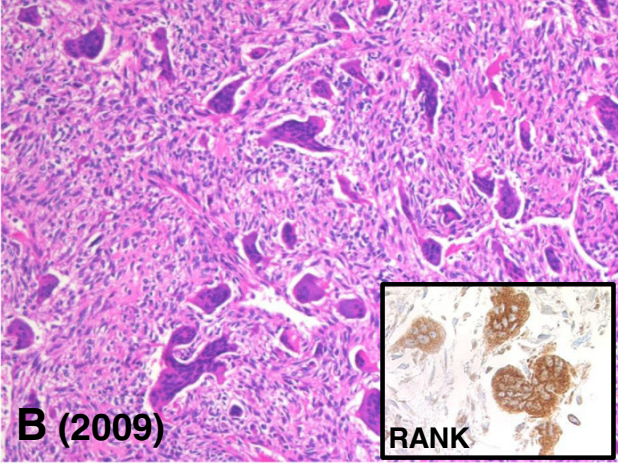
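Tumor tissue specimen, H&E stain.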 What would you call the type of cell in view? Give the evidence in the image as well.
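Many large cells with dark purple cytoplasm and many clustered nuclei. They are scattered among small spindle-shaped mononuclear cells. That points to this answer: giant cells.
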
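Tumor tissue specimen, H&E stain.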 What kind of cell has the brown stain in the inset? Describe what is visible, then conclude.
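Brown stain fills large rounded cells containing many nuclei. Surrounding small spindle cells are unstained.
Hence: osteoclastic giant cells.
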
